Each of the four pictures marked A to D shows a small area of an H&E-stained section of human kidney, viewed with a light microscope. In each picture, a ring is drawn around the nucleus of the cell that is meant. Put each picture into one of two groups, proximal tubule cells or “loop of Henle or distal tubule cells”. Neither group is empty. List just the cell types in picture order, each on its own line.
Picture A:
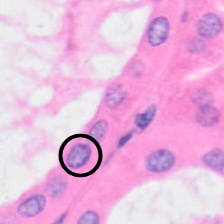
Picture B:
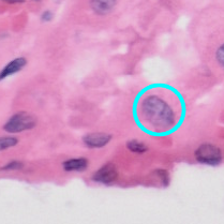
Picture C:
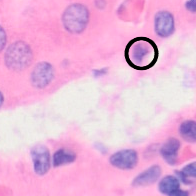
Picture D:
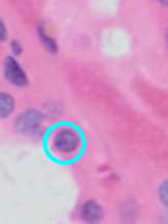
loop of Henle or distal tubule cell
proximal tubule cell
loop of Henle or distal tubule cell
loop of Henle or distal tubule cell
